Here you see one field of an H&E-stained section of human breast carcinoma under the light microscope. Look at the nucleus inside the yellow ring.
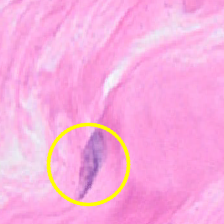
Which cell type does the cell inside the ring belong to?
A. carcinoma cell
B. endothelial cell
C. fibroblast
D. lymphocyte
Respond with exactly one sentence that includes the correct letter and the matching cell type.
Option C is the right one; the cell inside the ring is a fibroblast.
